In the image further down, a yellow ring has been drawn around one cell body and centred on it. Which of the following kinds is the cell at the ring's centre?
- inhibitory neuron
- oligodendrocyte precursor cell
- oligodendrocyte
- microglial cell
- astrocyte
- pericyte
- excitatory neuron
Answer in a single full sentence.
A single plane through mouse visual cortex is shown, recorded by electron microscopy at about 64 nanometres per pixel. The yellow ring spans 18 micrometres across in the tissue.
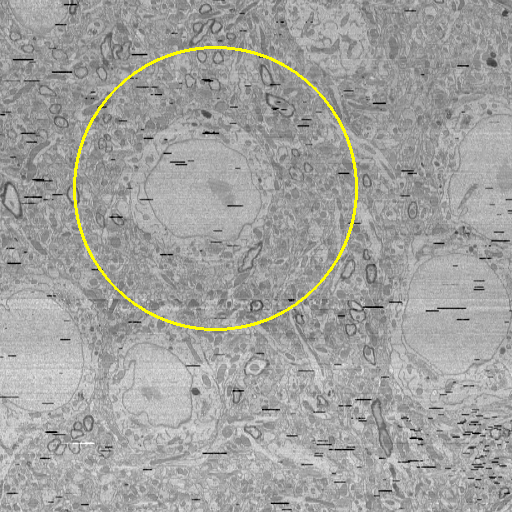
In the picture, the cell sitting at the centre of the yellow ring is an excitatory neuron.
